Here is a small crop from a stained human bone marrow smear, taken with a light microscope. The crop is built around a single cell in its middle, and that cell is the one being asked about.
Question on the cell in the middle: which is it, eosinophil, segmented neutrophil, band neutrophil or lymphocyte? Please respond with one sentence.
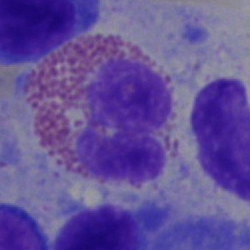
On this slide crop, the central cell is an eosinophil.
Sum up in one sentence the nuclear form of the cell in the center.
In short, this nucleus is segmented into two or more parts.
